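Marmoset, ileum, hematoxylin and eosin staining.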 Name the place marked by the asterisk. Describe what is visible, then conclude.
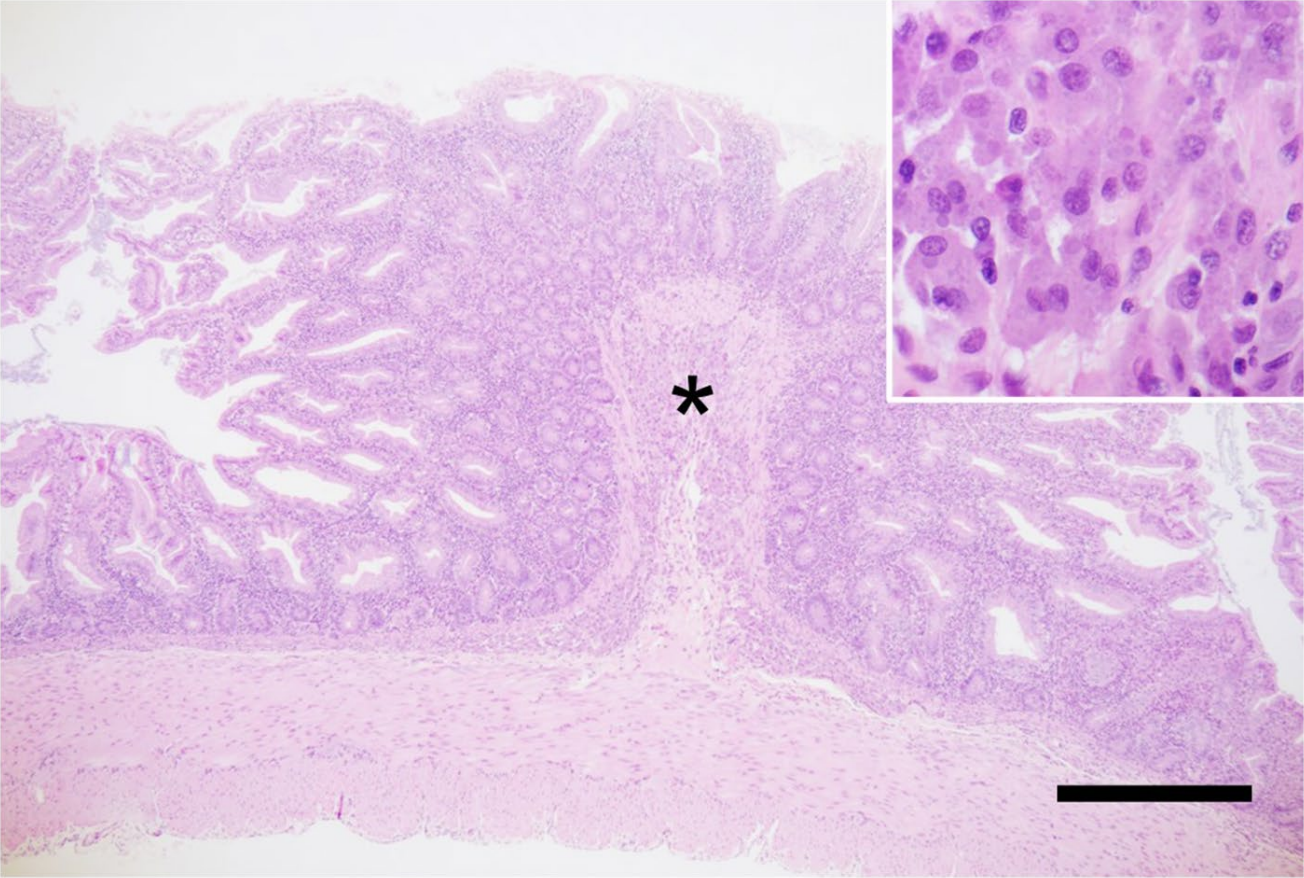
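Submucosa. The asterisk sits in a pale pink core beneath the glandular mucosa. This core is continuous with the layer above the muscle coat. Mucosa with glands lies on both sides of it.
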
